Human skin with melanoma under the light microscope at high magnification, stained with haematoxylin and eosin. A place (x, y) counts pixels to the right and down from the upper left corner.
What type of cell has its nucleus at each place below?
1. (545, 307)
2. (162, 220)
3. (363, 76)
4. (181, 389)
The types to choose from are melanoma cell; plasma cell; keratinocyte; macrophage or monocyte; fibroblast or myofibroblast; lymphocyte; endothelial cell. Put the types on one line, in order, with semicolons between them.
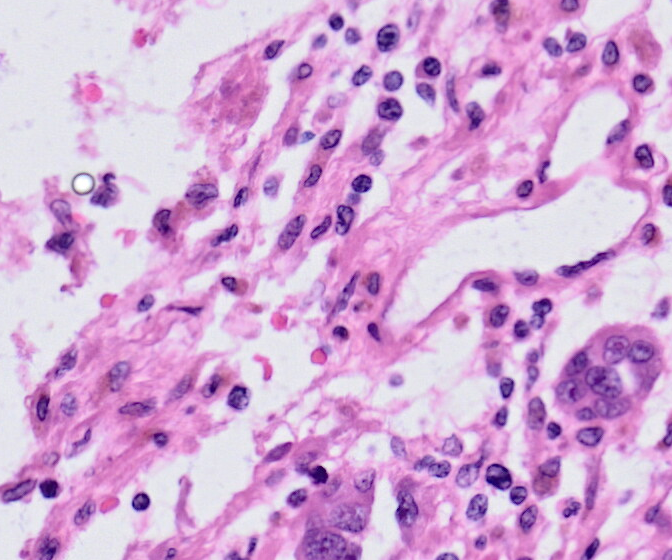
lymphocyte; macrophage or monocyte; lymphocyte; macrophage or monocyte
